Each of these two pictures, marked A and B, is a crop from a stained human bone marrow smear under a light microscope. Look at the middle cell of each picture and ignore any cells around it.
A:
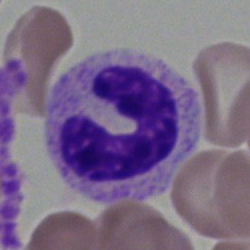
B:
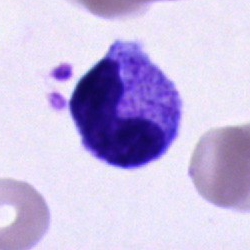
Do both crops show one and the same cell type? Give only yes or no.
yes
